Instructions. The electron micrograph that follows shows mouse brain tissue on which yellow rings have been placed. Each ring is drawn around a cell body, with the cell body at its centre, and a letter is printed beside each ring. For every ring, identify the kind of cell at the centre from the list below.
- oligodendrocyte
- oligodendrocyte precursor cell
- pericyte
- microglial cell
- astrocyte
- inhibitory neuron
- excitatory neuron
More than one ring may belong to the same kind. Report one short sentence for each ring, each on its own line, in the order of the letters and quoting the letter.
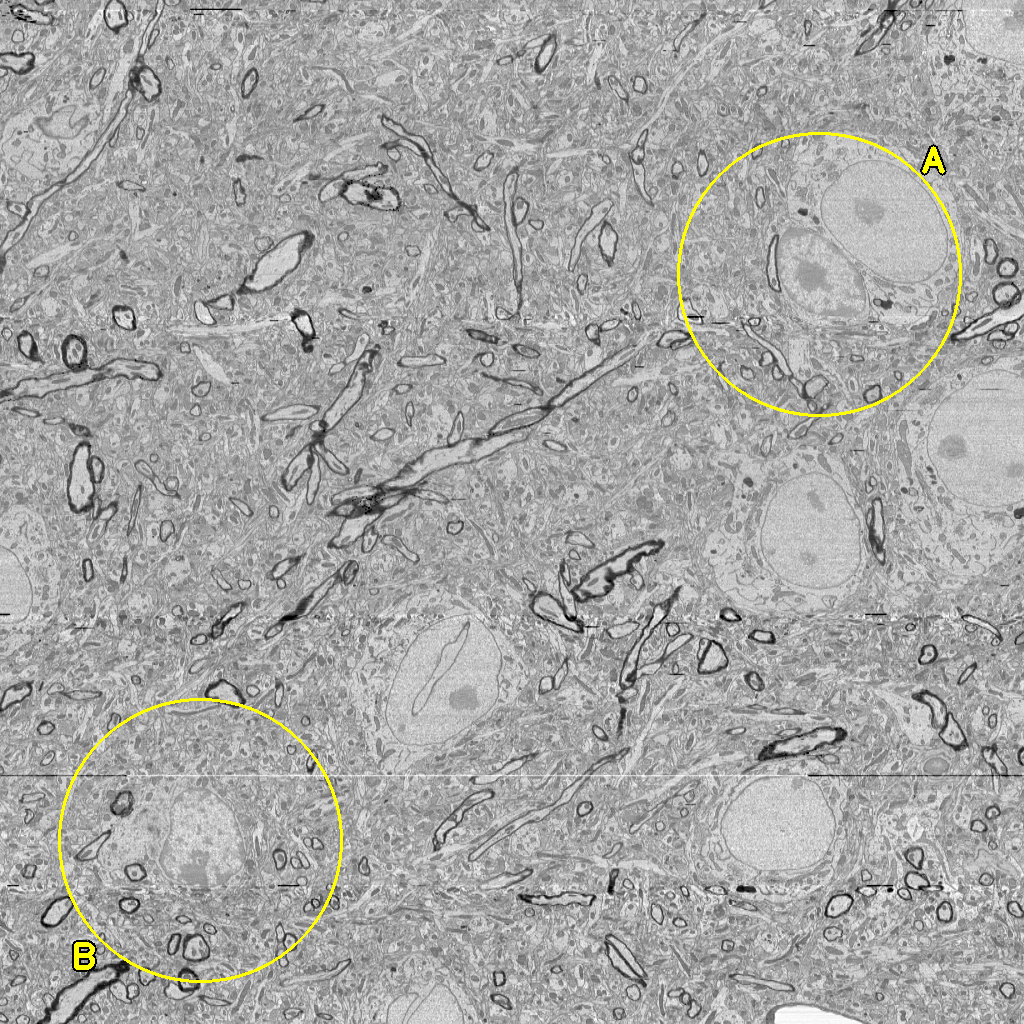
The centre of ring A is occupied by an oligodendrocyte.
The centre of ring B is occupied by an oligodendrocyte.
